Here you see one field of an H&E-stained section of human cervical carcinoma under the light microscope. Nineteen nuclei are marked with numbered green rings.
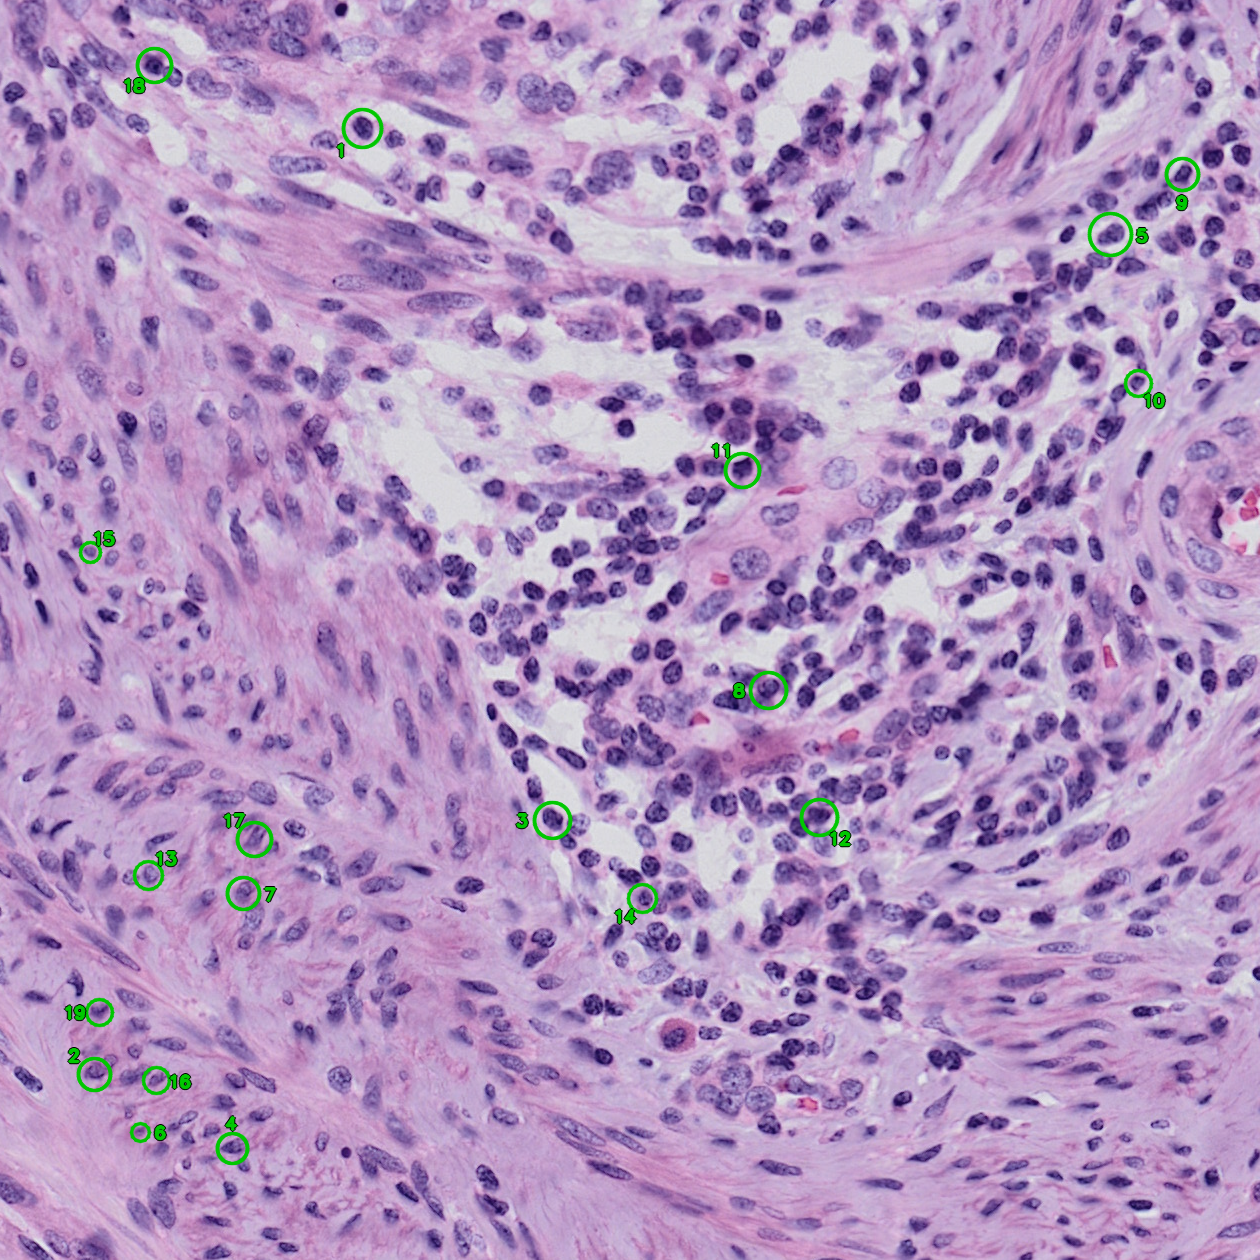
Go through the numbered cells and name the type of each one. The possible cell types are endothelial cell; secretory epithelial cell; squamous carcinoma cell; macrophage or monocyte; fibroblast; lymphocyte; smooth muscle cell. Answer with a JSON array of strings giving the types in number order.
["lymphocyte", "smooth muscle cell", "lymphocyte", "smooth muscle cell", "lymphocyte", "smooth muscle cell", "smooth muscle cell", "lymphocyte", "lymphocyte", "lymphocyte", "lymphocyte", "lymphocyte", "smooth muscle cell", "lymphocyte", "smooth muscle cell", "smooth muscle cell", "smooth muscle cell", "lymphocyte", "smooth muscle cell"]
